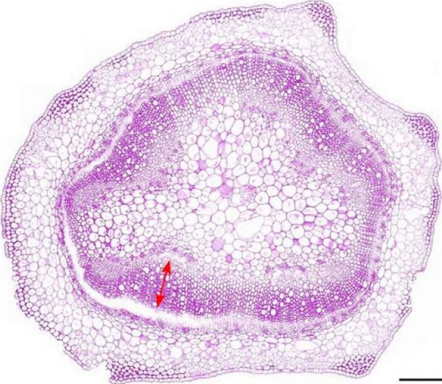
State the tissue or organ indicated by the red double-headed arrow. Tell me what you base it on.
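The ring lies between the central pith of large cells and the outer cortex. On this evidence: xylem.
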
